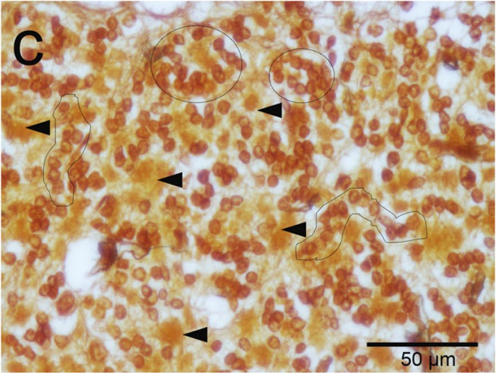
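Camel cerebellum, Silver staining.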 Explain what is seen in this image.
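The field is filled with many small round brown-stained nuclei of similar size, the granular cells of the granular layer. They are not spread evenly but gather into compact rounded clusters and into elongated, winding rows. Between the groups lie paler, finely fibrous areas and a few clear gaps.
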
